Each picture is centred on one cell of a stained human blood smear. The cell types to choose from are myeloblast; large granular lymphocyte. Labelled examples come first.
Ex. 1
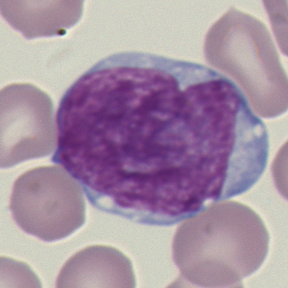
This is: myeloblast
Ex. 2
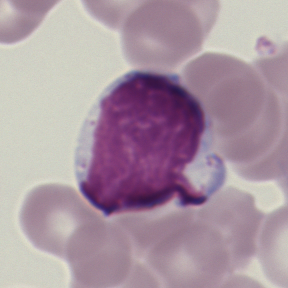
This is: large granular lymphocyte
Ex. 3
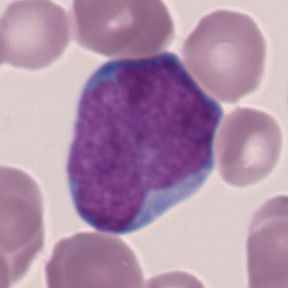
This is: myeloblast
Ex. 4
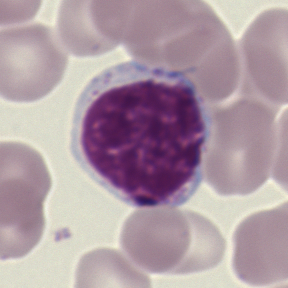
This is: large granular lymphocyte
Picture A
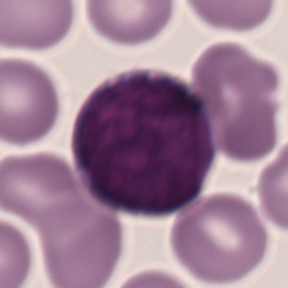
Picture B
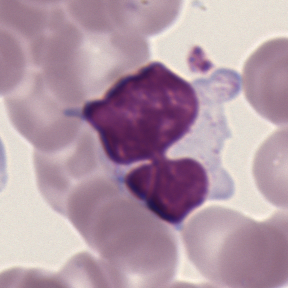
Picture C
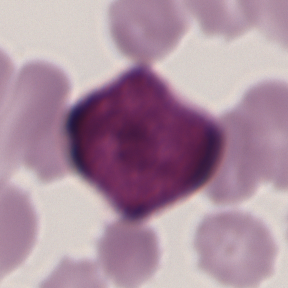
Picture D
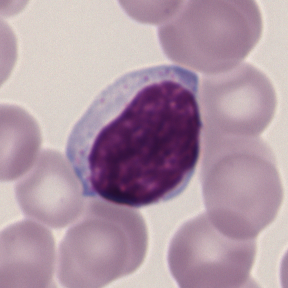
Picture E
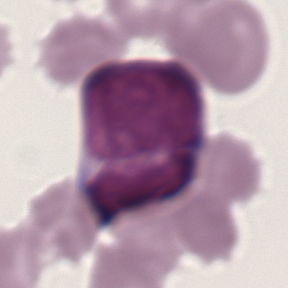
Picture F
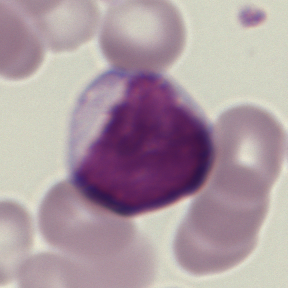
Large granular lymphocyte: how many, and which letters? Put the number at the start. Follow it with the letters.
Count: 3 (B, D, F)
